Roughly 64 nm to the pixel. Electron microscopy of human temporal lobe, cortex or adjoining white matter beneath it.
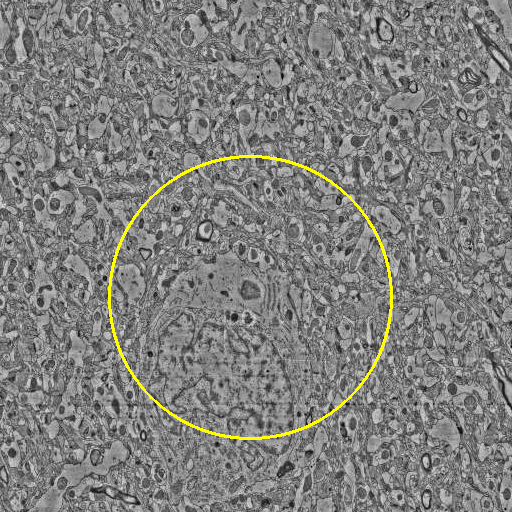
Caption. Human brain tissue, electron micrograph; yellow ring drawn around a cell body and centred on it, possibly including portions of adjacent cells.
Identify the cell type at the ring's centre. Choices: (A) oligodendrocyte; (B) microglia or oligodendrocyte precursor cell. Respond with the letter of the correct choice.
B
